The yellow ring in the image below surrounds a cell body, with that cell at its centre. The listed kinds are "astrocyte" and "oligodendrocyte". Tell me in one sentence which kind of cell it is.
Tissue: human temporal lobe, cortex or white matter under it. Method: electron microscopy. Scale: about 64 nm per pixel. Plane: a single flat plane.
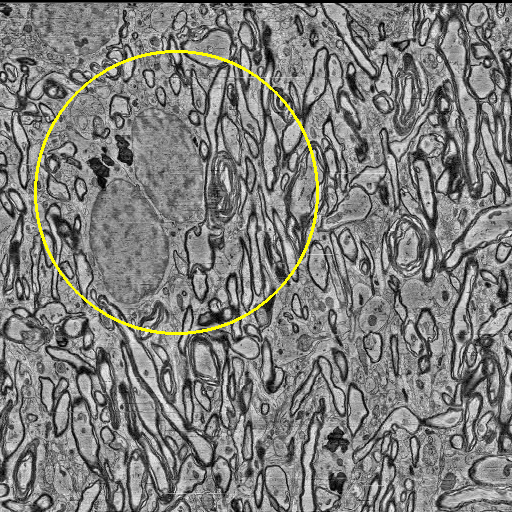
The centre of the ring holds an oligodendrocyte.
